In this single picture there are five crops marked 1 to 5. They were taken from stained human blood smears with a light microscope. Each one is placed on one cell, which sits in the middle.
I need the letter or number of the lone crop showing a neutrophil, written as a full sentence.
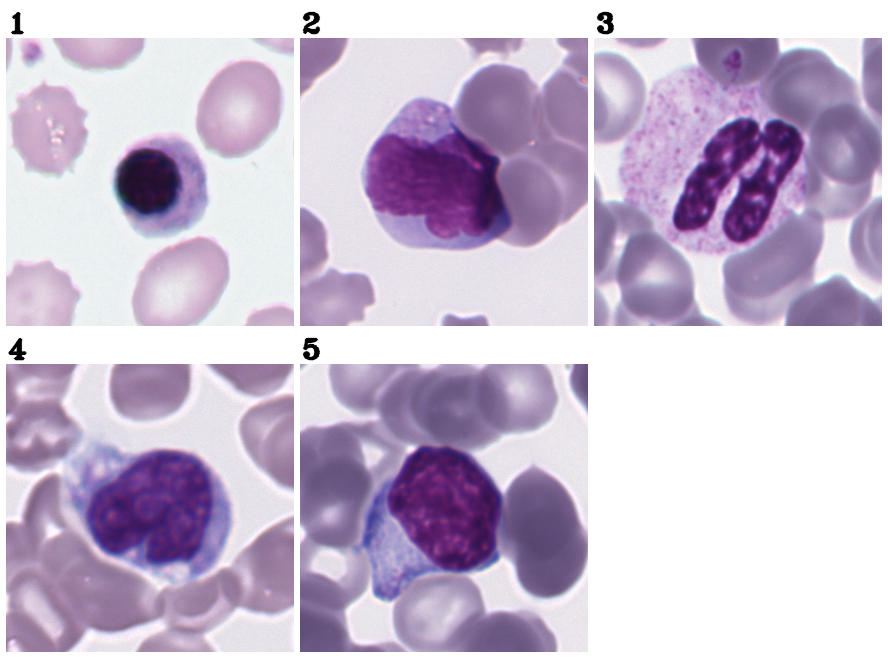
In this series, a neutrophil is shown by crop 3.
